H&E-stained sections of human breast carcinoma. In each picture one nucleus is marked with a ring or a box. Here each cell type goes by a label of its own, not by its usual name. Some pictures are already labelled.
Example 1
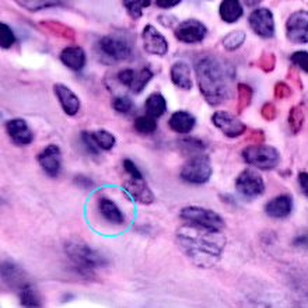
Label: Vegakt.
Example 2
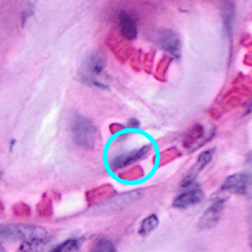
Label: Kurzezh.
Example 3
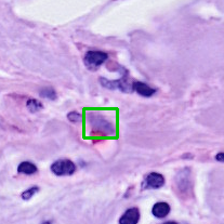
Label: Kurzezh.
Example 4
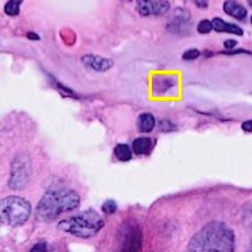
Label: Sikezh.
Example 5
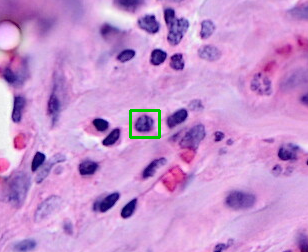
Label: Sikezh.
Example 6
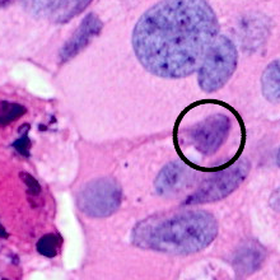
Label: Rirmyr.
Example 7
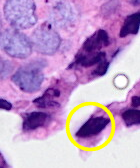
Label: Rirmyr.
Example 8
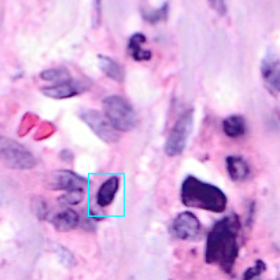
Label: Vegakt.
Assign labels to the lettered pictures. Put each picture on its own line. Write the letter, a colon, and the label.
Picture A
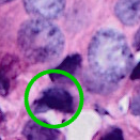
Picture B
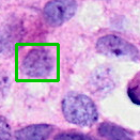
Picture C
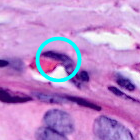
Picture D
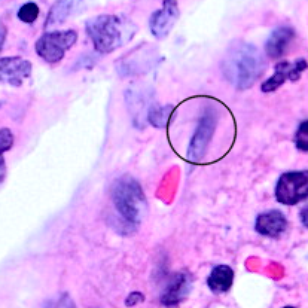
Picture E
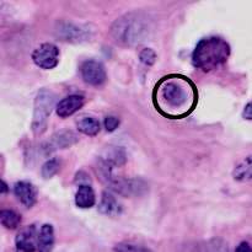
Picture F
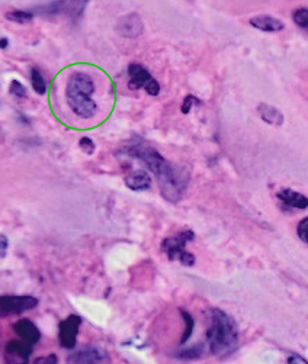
A: Rirmyr.
B: Rirmyr.
C: Kurzezh.
D: Kurzezh.
E: Sikezh.
F: Sikezh.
